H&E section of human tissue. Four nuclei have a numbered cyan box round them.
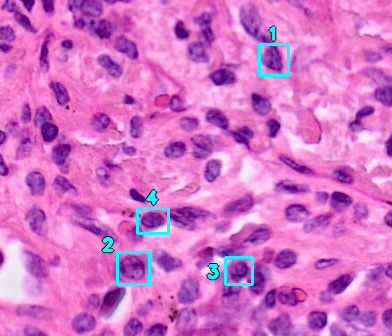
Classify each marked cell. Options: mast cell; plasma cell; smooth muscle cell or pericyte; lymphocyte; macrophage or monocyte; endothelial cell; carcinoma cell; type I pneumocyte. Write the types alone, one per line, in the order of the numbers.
lymphocyte
plasma cell
lymphocyte
lymphocyte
